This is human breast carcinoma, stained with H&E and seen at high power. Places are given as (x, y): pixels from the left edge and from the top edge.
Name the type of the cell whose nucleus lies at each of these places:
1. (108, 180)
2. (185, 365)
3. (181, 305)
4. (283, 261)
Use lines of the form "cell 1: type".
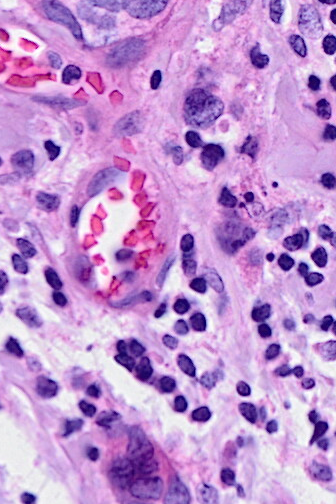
cell 1: endothelial cell
cell 2: lymphocyte
cell 3: lymphocyte
cell 4: lymphocyte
